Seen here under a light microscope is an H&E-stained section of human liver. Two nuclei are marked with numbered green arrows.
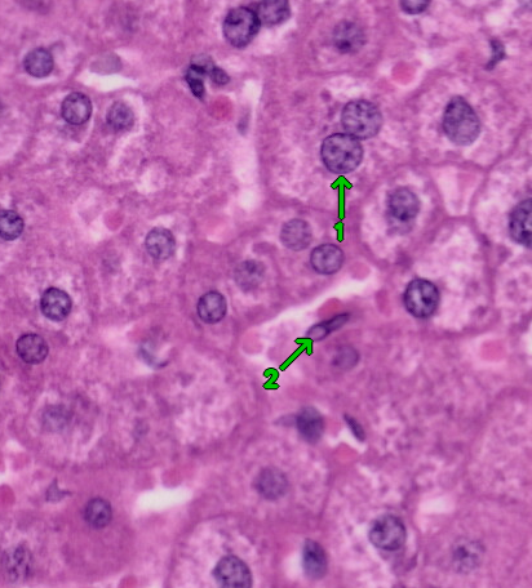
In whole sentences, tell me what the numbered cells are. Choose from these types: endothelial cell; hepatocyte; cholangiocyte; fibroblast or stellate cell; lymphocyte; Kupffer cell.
Cell 1 is a hepatocyte and cell 2 is a Kupffer cell.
